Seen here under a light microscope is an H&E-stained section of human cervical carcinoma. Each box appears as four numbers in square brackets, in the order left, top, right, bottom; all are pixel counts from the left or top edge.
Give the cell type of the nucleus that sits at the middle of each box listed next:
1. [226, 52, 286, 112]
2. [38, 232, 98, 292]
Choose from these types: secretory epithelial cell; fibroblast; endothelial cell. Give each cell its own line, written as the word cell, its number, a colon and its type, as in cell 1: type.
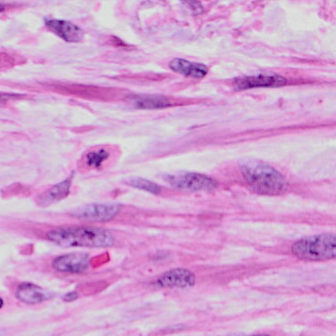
cell 1: fibroblast
cell 2: endothelial cell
